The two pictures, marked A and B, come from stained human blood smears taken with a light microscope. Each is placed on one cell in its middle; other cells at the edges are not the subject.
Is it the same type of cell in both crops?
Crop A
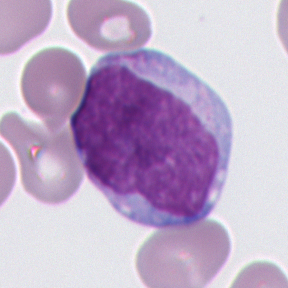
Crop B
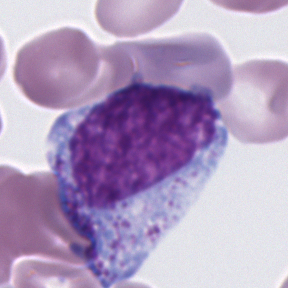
no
